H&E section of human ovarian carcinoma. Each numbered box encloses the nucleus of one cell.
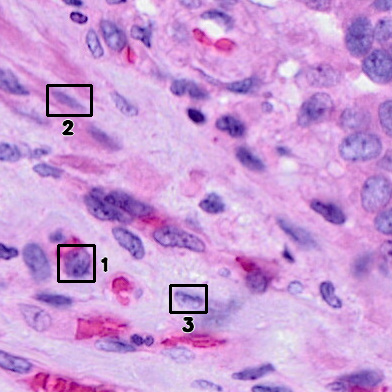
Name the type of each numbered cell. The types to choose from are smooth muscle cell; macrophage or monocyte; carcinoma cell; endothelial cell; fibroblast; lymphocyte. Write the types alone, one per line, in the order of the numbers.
endothelial cell
smooth muscle cell
fibroblast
